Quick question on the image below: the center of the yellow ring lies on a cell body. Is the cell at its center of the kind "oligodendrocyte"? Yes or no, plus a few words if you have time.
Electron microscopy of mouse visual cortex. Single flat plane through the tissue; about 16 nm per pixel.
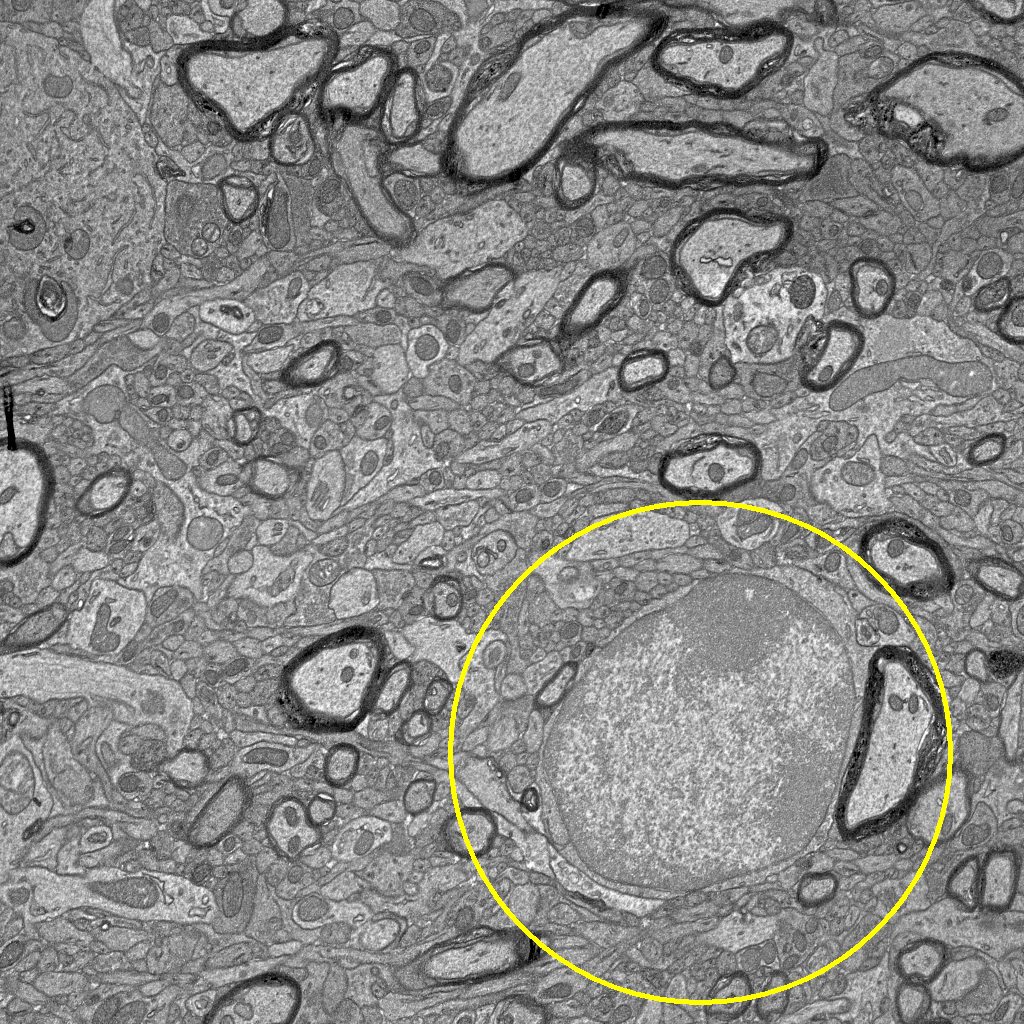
Yes, the cell at the center is of that kind.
